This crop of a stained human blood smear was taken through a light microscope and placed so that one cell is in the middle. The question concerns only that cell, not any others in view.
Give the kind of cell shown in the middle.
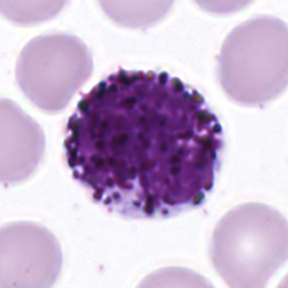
basophil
